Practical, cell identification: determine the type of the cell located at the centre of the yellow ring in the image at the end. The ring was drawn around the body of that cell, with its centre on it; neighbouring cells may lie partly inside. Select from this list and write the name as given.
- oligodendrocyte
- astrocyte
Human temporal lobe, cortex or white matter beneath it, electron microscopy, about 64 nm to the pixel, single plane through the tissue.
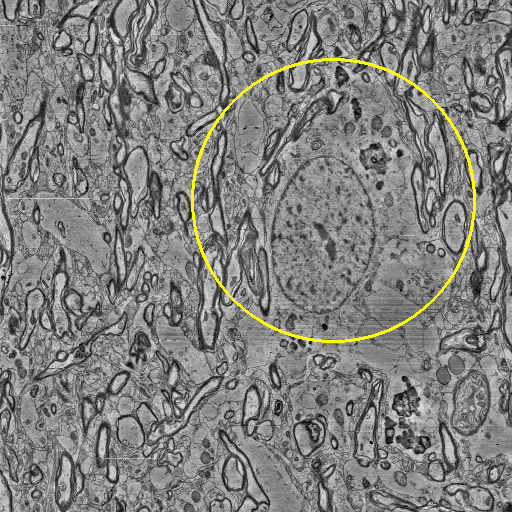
astrocyte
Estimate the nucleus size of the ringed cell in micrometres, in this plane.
The nucleus of the ringed cell is clearly longer than it is wide in this plane, about 10 by 7 micrometres.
